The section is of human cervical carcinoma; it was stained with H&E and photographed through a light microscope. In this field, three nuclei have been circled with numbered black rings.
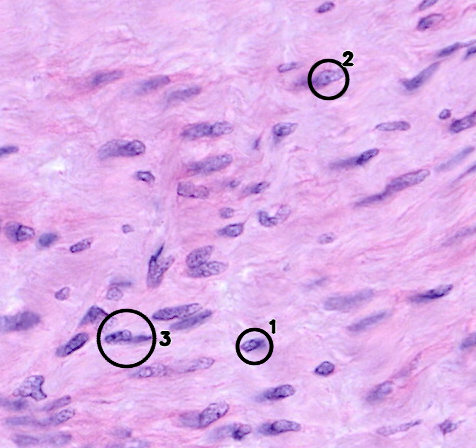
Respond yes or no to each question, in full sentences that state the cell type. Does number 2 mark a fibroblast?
No, the nucleus numbered 2 belongs to a smooth muscle cell, not a fibroblast.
